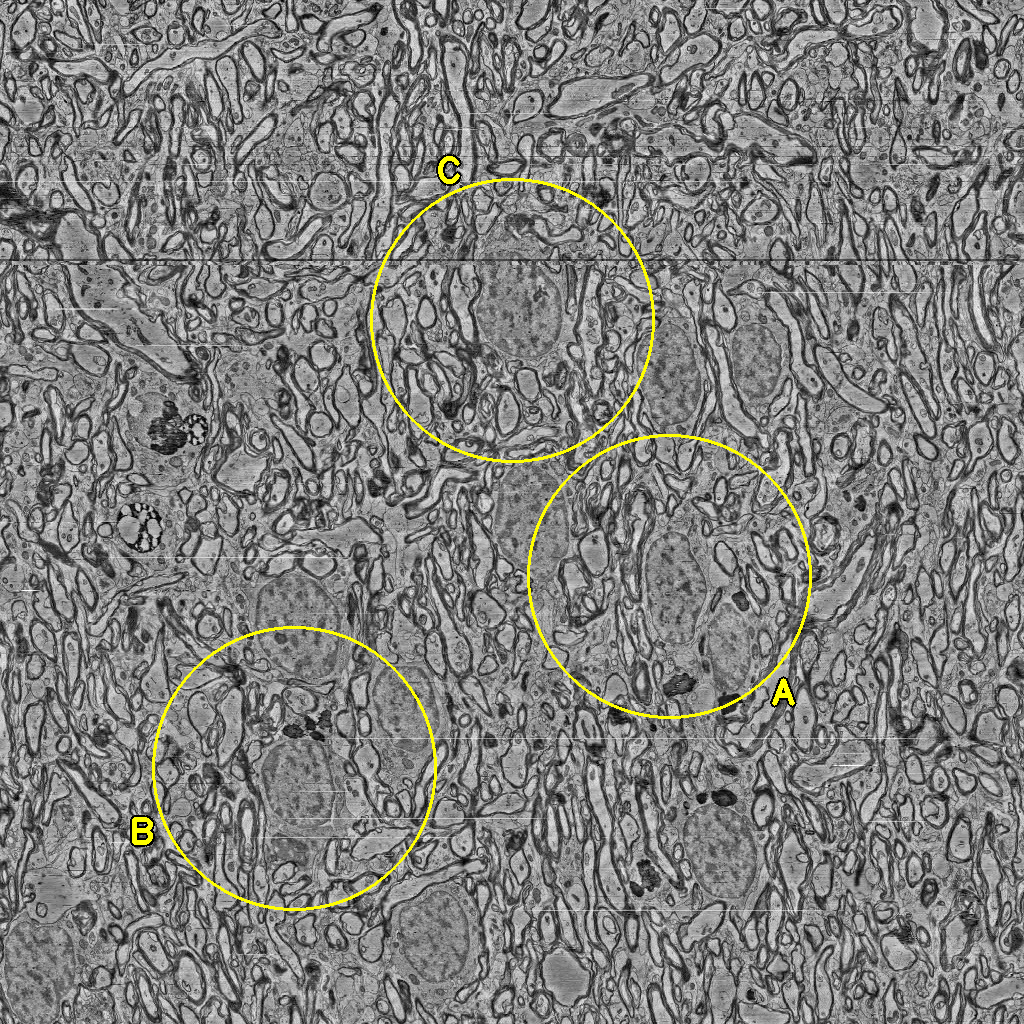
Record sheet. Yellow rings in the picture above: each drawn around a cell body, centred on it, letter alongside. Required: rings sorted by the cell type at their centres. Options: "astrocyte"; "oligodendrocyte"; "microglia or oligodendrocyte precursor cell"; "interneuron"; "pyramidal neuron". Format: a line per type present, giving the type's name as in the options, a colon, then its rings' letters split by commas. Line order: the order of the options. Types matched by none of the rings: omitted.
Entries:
oligodendrocyte: B, C
microglia or oligodendrocyte precursor cell: A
